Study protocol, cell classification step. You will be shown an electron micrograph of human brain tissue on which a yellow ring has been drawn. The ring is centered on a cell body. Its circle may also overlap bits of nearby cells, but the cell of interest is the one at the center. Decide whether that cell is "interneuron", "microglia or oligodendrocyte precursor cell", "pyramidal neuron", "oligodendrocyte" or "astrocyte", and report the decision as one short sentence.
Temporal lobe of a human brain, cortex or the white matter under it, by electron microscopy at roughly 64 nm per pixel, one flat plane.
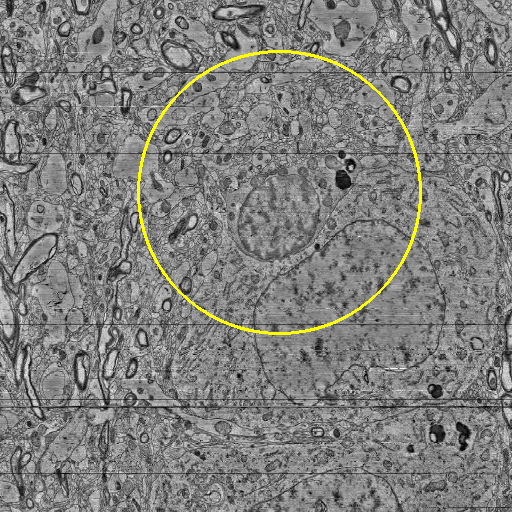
The marked cell is an oligodendrocyte.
